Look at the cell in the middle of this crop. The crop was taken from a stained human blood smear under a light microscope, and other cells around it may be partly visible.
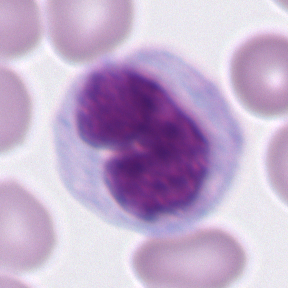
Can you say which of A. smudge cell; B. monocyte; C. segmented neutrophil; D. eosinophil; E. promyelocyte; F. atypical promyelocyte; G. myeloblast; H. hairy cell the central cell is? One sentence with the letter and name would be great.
According to option B, which is correct, the cell in the middle is a monocyte.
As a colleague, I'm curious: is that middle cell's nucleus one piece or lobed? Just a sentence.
The nucleus holds together as a single compact mass, round, oval or kidney-like.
